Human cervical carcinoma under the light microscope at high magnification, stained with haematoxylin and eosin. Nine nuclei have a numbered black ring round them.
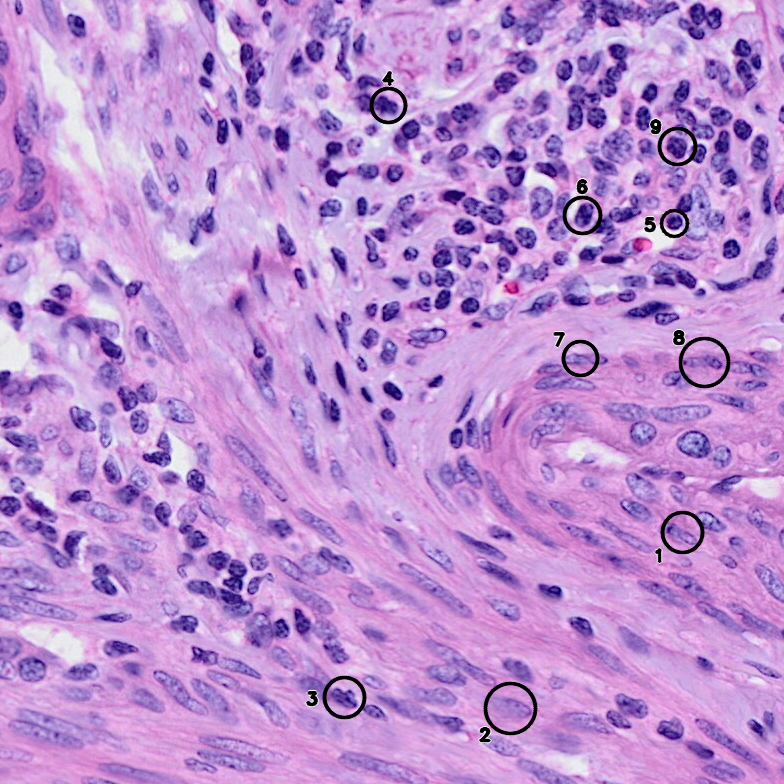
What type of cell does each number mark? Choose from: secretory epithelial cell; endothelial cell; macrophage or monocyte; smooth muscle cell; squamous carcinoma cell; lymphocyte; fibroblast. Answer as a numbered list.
1. smooth muscle cell
2. smooth muscle cell
3. lymphocyte
4. lymphocyte
5. lymphocyte
6. lymphocyte
7. smooth muscle cell
8. smooth muscle cell
9. lymphocyte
